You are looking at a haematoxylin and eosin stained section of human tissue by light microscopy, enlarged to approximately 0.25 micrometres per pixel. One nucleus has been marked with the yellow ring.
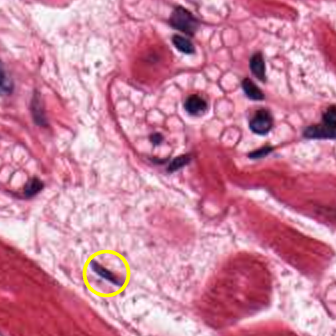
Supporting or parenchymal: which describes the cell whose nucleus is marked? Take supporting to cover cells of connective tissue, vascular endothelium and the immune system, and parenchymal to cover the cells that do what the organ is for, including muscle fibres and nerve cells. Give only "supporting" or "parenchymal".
supporting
